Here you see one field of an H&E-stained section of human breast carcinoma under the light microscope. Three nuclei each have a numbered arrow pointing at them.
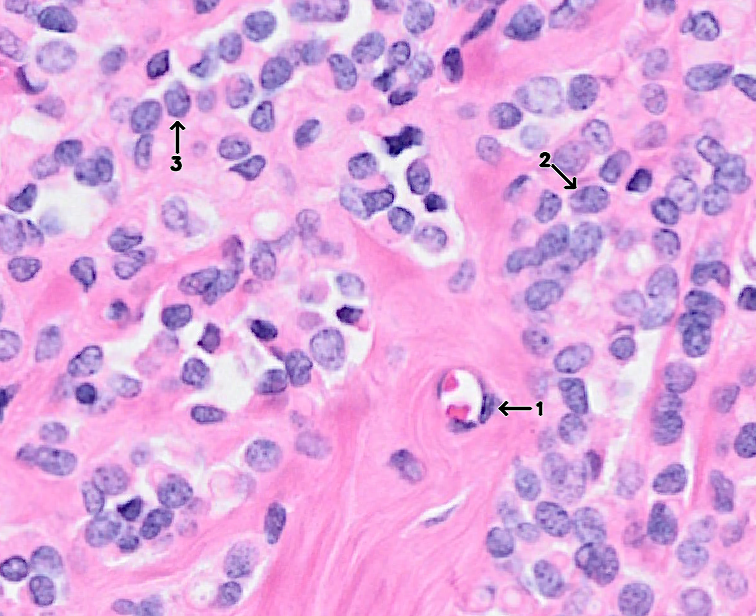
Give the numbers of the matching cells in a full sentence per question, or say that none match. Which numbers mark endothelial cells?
Cell 1 alone, of all the numbered cells, is an endothelial cell.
